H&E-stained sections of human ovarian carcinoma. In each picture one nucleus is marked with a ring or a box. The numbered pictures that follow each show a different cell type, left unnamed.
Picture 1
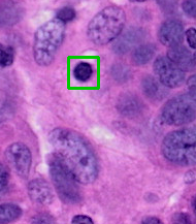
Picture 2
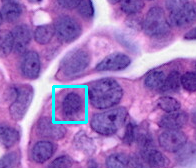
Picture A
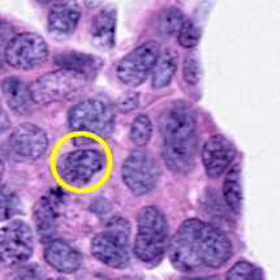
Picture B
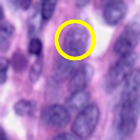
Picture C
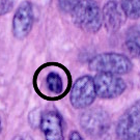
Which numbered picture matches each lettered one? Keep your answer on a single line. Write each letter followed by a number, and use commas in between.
A 2, B 2, C 1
